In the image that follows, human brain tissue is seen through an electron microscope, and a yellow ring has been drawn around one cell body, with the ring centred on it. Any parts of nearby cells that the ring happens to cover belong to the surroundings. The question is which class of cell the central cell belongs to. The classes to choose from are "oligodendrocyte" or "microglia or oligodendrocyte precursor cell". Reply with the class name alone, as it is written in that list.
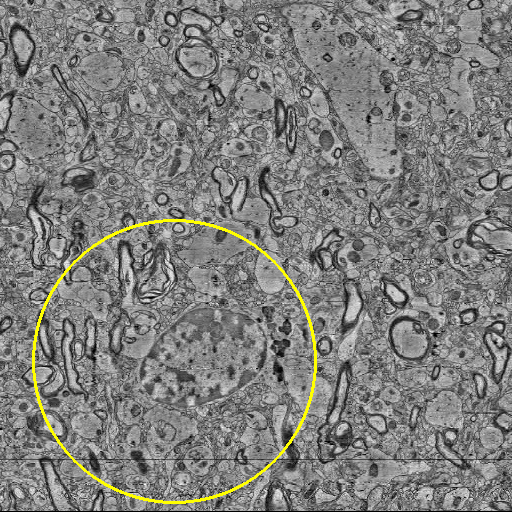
microglia or oligodendrocyte precursor cell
